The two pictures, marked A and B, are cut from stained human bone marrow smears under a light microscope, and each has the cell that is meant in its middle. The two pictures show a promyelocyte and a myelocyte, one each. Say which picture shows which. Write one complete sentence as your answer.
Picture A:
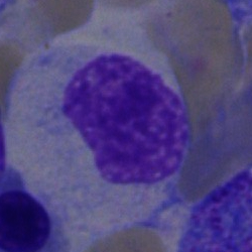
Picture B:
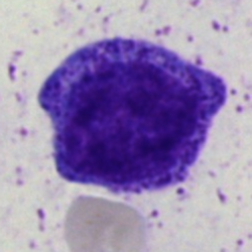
Picture A is of a myelocyte, and picture B is of a promyelocyte.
